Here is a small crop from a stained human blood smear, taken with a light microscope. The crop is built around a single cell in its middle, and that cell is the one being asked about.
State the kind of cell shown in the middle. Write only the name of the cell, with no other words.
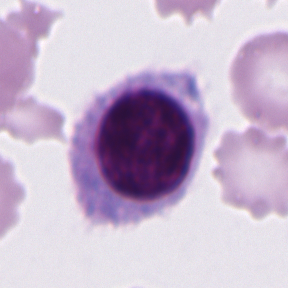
hairy cell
